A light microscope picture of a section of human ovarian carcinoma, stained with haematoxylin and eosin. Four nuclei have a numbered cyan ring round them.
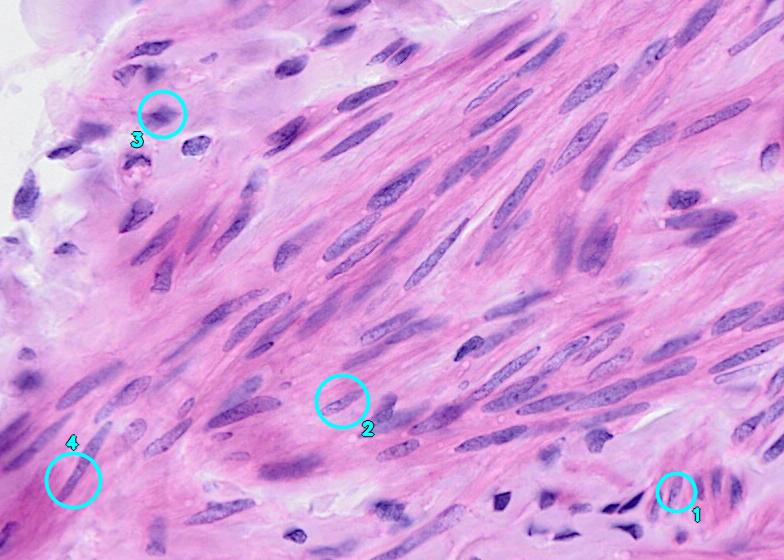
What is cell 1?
smooth muscle cell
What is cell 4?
smooth muscle cell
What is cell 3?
fibroblast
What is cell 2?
smooth muscle cell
